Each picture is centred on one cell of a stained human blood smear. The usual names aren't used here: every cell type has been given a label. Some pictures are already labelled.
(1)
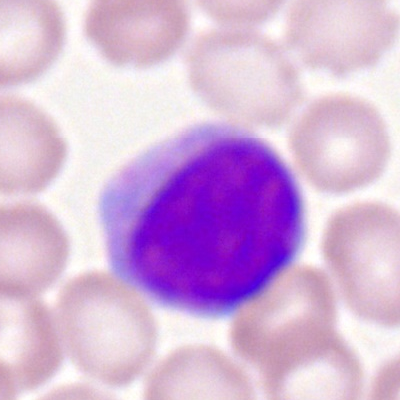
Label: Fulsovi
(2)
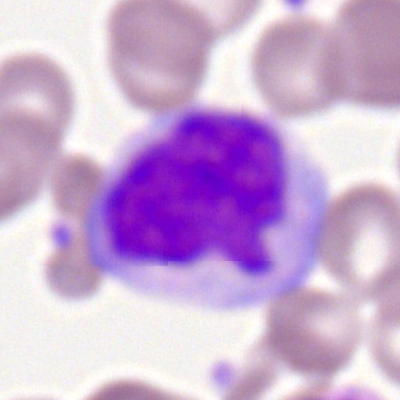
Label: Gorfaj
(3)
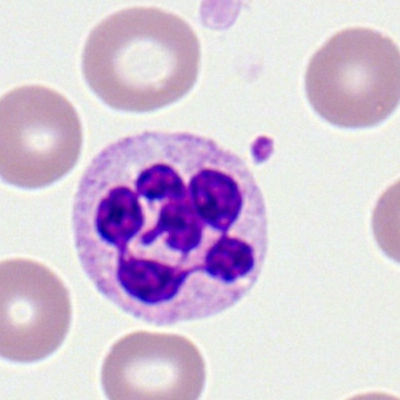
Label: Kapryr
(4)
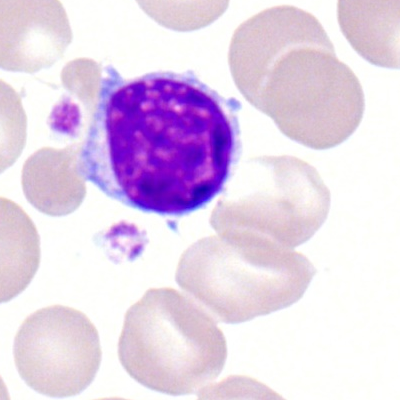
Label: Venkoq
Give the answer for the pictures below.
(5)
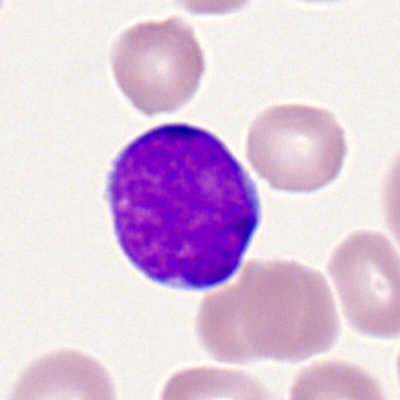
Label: Fulsovi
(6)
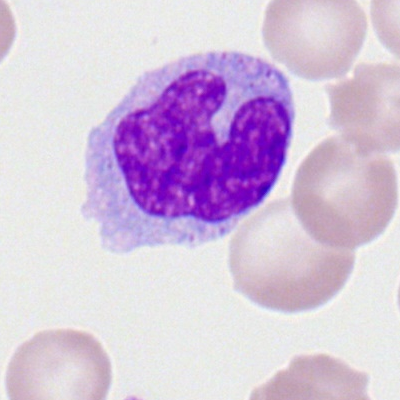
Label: Gorfaj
